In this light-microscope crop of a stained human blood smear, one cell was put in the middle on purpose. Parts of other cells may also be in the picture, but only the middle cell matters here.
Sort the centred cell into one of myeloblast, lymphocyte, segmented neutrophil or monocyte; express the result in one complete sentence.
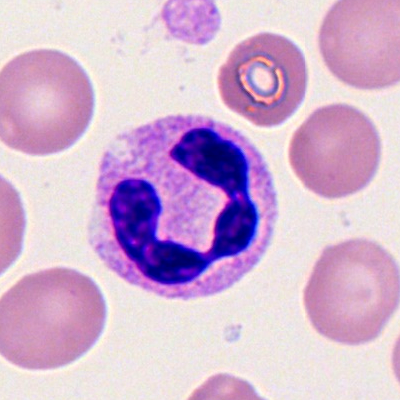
The crop's centre is taken up by a segmented neutrophil.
